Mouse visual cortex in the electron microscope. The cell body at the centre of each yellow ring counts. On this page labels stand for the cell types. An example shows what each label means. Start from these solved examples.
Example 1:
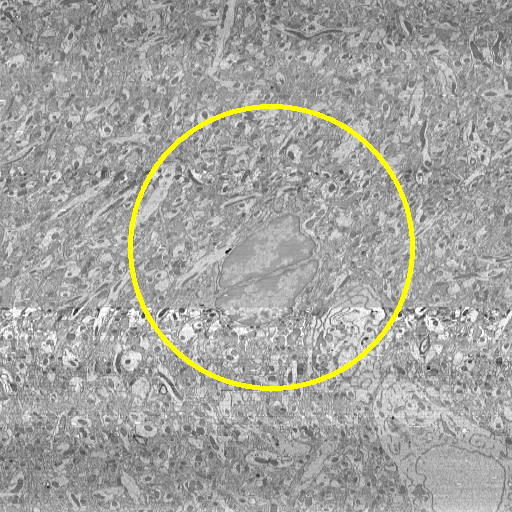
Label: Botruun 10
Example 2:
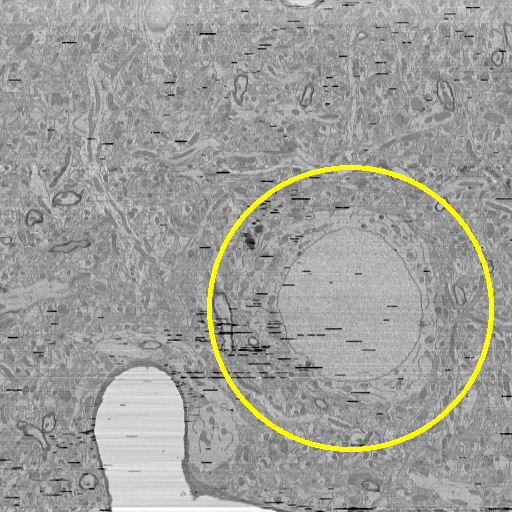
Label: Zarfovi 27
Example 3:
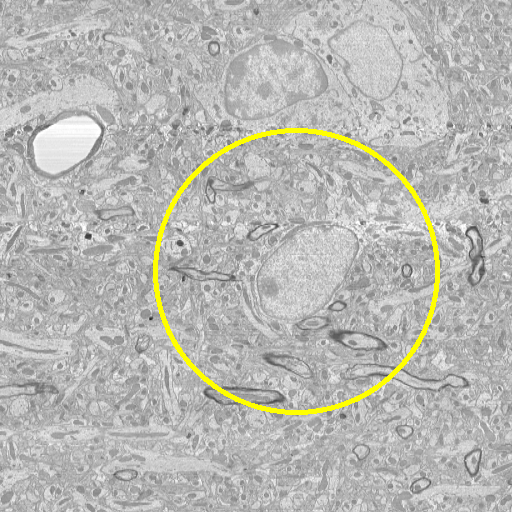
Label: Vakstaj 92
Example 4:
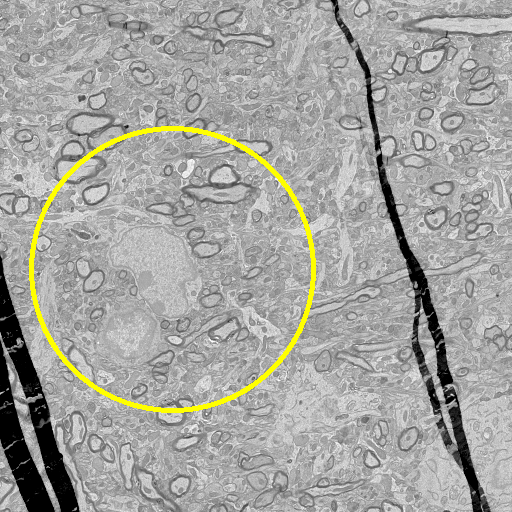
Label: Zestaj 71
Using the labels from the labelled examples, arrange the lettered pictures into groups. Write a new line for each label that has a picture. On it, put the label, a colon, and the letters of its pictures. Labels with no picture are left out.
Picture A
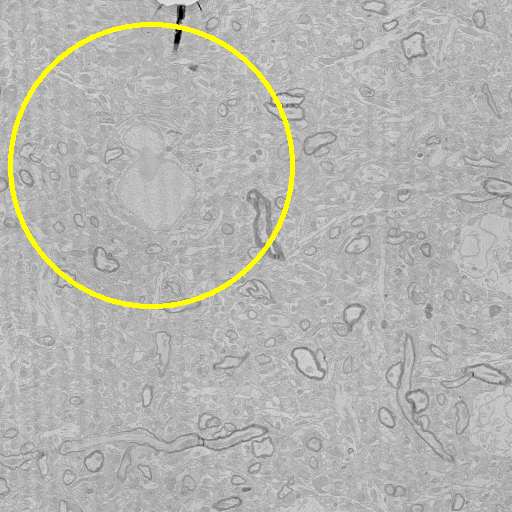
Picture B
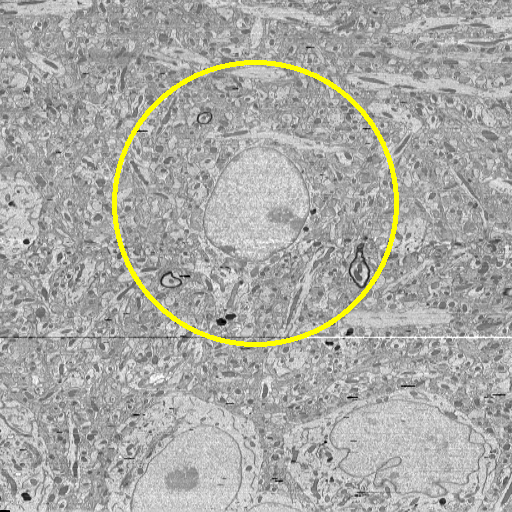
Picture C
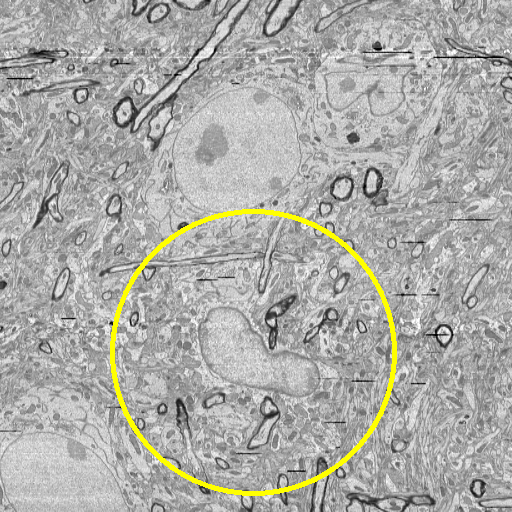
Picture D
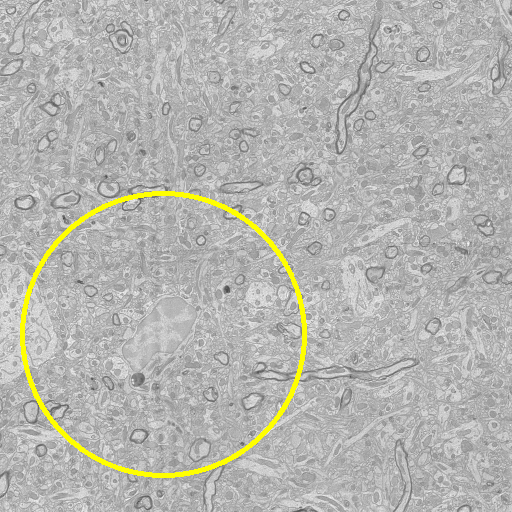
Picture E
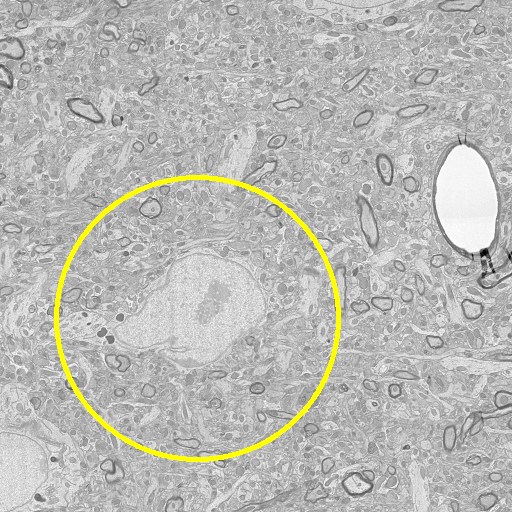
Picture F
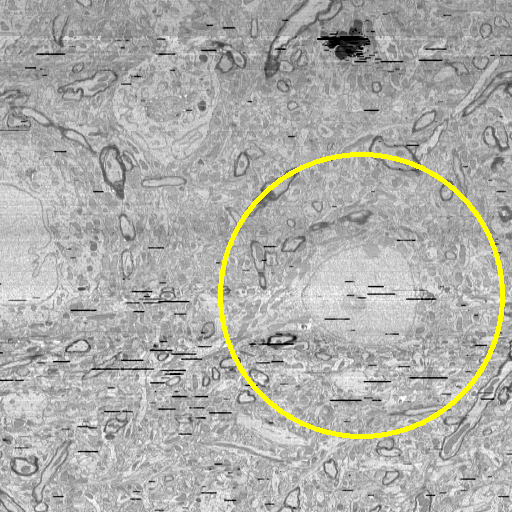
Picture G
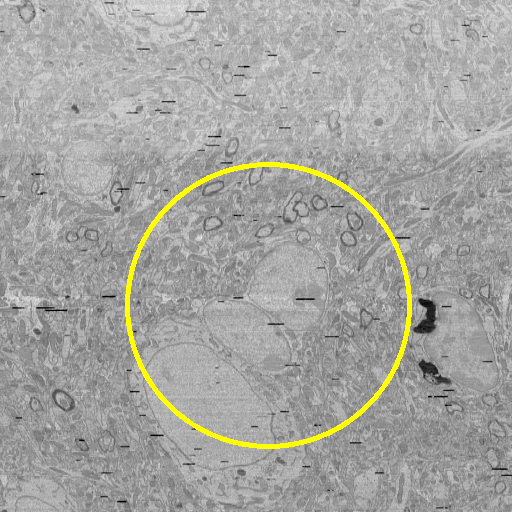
Botruun 10: D
Vakstaj 92: B, C, F
Zestaj 71: A, E, G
